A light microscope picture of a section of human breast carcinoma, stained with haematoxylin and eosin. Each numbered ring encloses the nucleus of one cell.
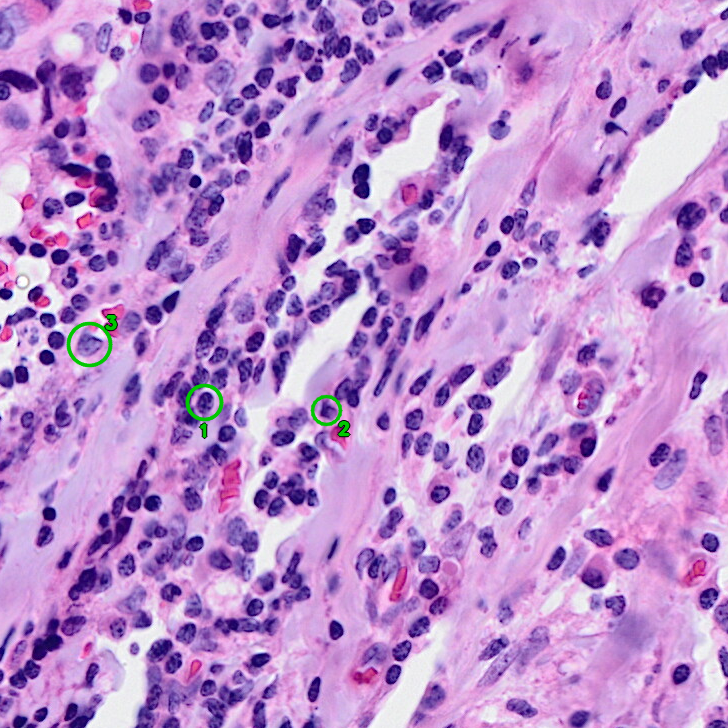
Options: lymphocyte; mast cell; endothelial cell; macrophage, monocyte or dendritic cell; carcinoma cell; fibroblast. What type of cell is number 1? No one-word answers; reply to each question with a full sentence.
The nucleus with number 1 is that of a lymphocyte.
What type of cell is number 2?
The cell indicated by marker 2 is a lymphocyte in this section.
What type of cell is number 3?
In this section, the cell tagged 3 is an endothelial cell.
